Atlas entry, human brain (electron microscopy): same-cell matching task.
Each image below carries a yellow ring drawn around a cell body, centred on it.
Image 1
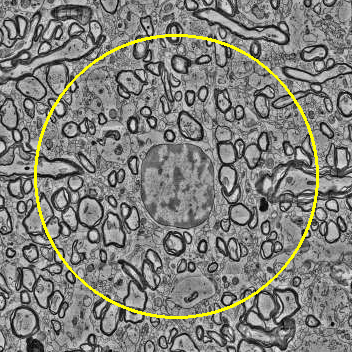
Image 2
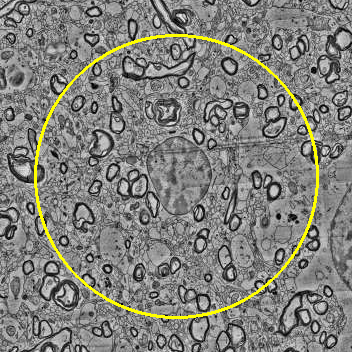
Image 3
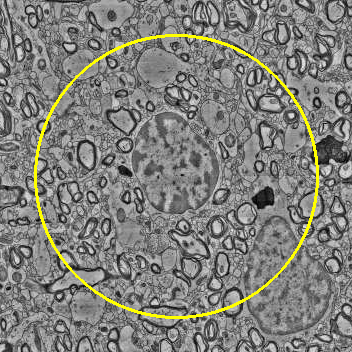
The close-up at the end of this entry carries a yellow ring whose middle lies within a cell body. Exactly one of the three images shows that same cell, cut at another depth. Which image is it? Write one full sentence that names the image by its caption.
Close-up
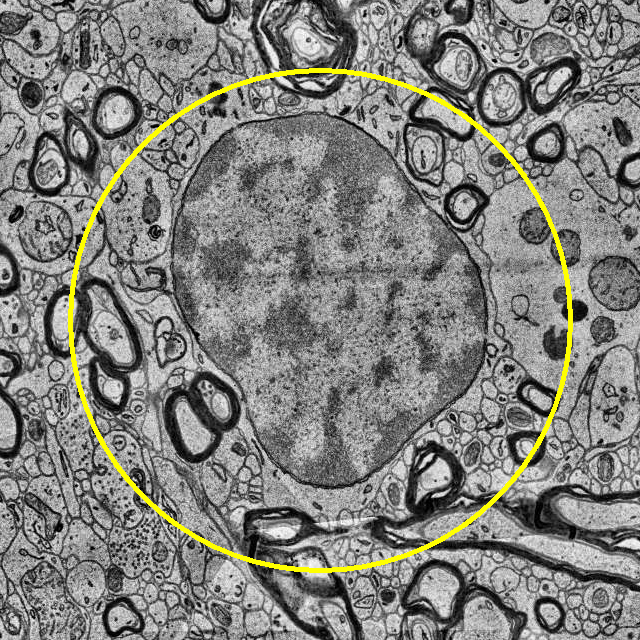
The cell examined up close is the one ringed in Image 2.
